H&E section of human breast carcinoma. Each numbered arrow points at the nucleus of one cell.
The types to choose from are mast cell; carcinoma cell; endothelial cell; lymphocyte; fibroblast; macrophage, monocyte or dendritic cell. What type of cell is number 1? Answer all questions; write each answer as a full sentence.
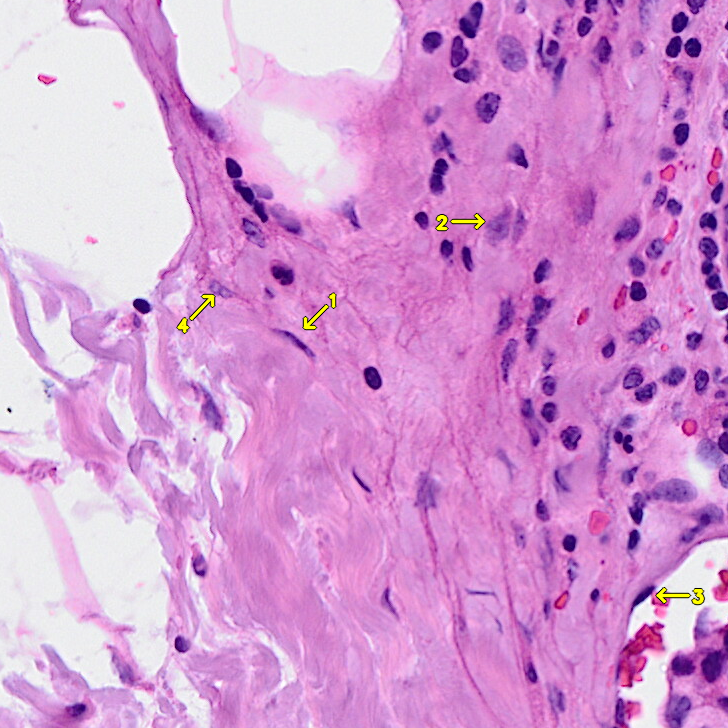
Belonging to a fibroblast is the nucleus that carries the number 1.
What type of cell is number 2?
The nucleus labelled 2 belongs to a fibroblast.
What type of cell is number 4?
Cell 4 is classified as a fibroblast.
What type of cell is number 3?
The cell to which the number 3 is assigned is an endothelial cell.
